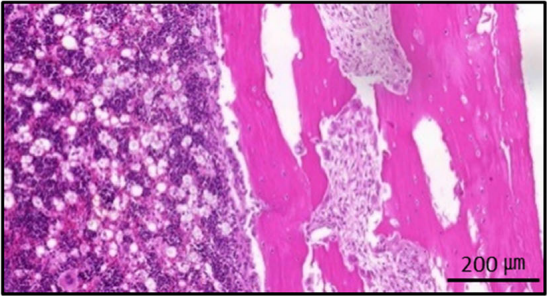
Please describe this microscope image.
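Section of bone with its marrow alongside, stained pink and purple. The pink bone matrix is broken by several large, irregular cavities, some empty and some filled with loose, pale tissue containing many nuclei. Small lacunae with dark nuclei are scattered through the remaining matrix. The bone here appears less solid, with wide channels dividing it into strips.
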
